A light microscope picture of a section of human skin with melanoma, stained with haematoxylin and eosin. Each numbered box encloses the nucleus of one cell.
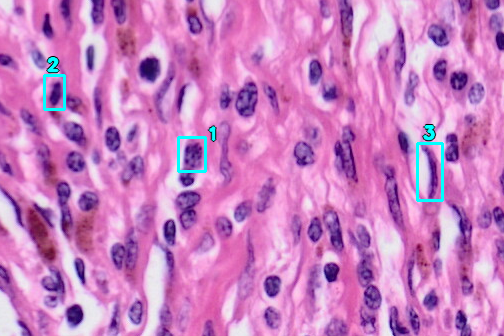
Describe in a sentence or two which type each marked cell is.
Cell 1 is a plasma cell, cell 2 is a plasma cell and cell 3 is a fibroblast or myofibroblast.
